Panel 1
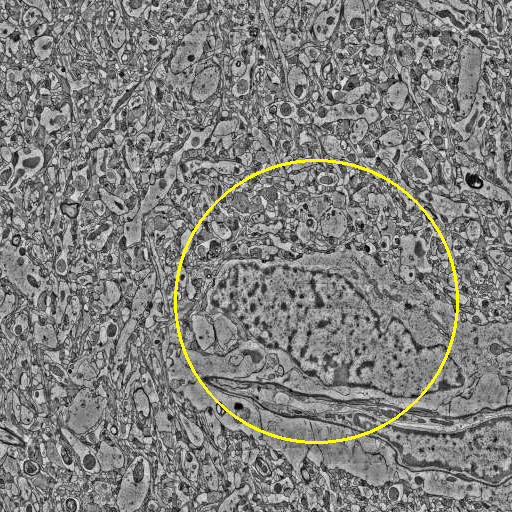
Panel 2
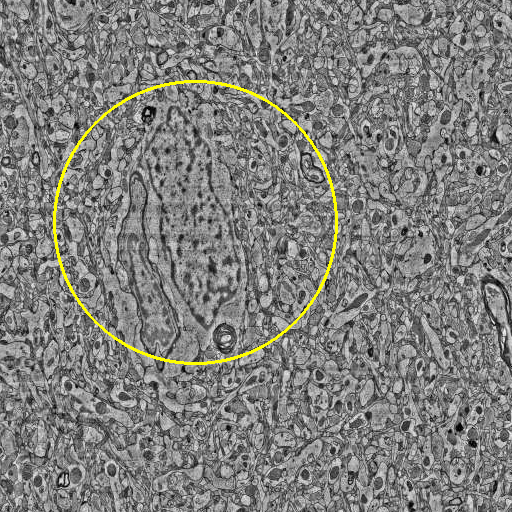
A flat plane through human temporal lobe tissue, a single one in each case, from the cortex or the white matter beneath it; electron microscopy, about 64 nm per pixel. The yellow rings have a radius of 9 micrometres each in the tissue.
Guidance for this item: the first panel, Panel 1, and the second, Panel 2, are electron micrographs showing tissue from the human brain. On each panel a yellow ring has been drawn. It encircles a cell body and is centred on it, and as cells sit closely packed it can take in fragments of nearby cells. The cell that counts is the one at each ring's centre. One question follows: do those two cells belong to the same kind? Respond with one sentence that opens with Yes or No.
Yes, the cells at the ring centres in Panel 1 and Panel 2 are of one kind.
